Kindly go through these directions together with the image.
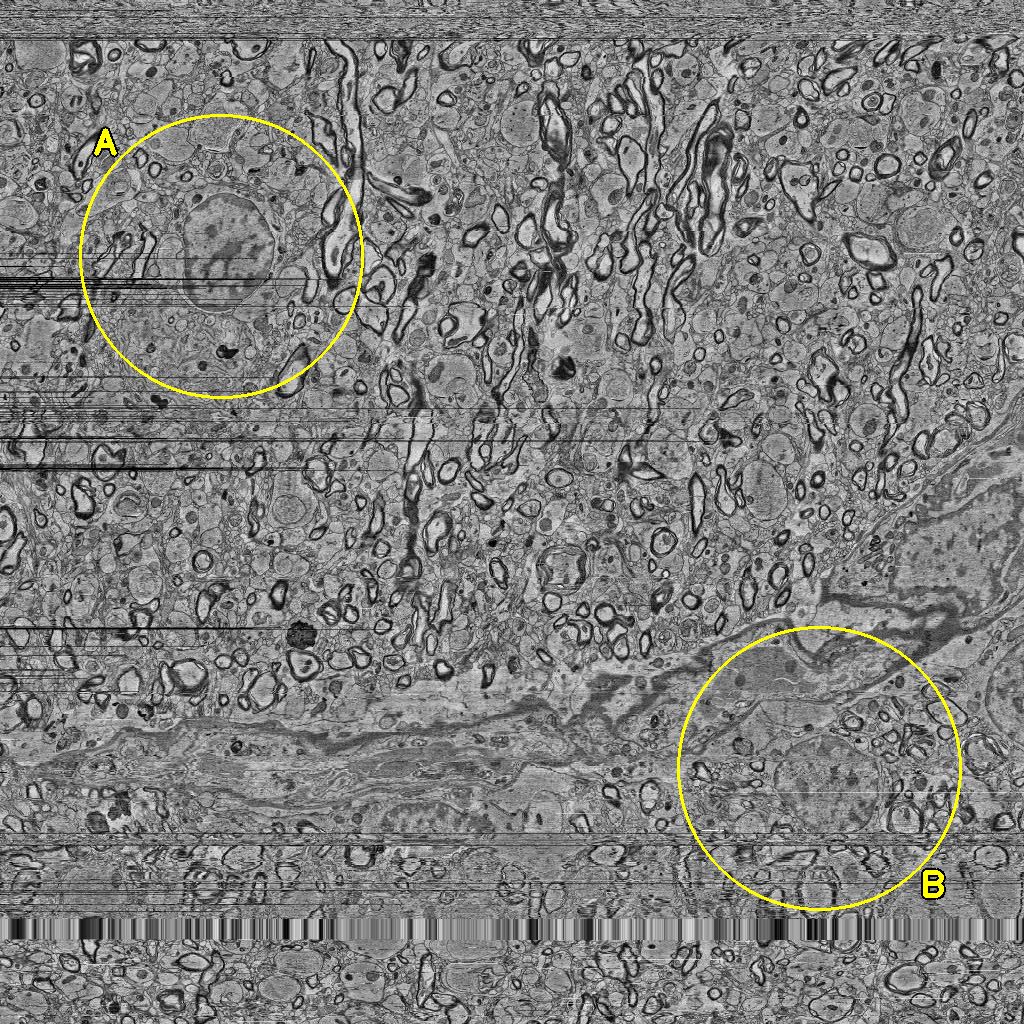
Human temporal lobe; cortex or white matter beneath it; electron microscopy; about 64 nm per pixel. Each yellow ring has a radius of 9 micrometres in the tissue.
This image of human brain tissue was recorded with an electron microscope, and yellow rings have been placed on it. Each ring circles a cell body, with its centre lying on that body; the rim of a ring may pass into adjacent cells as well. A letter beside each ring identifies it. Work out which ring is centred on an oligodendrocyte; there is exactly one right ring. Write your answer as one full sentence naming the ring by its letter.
Ring B is the one whose centre lies on a cell of that kind.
